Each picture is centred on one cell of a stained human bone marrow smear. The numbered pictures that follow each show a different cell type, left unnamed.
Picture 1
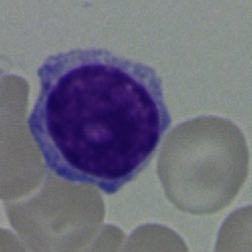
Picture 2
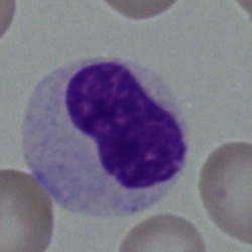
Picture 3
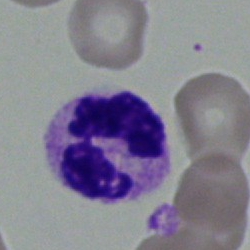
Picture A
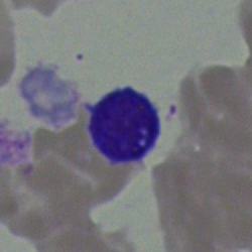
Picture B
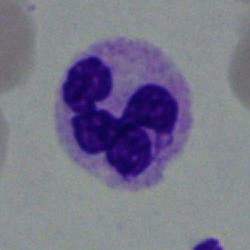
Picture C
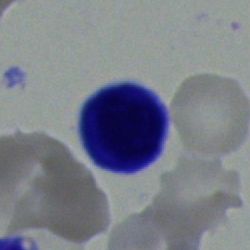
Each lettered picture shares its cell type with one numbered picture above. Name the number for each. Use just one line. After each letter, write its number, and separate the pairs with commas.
A 1, B 3, C 1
